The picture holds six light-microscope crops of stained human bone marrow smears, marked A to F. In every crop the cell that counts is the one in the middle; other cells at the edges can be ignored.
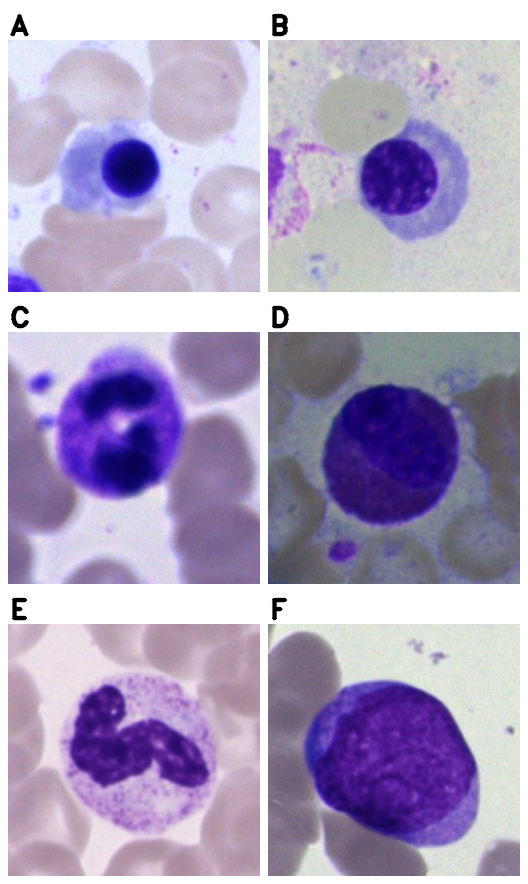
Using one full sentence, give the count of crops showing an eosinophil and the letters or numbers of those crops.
Exactly one match for an eosinophil exists among the crops, and it is crop D.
